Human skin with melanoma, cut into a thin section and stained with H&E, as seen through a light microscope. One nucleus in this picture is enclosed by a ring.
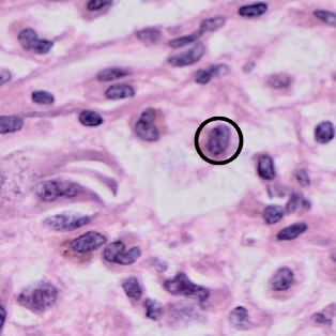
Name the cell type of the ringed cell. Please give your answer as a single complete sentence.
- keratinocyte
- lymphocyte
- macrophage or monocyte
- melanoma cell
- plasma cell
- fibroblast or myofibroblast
Among the cells in this section, the ringed cell is a macrophage or monocyte.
